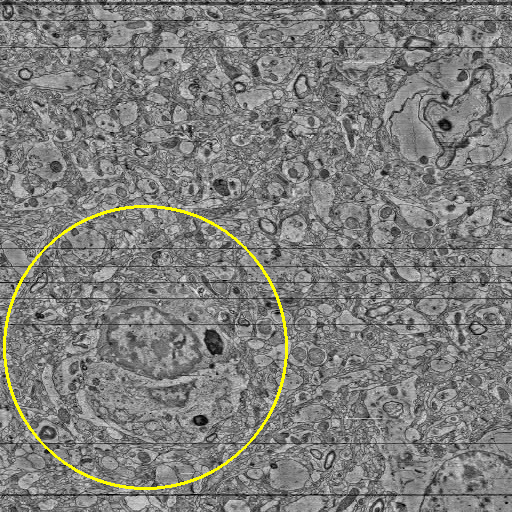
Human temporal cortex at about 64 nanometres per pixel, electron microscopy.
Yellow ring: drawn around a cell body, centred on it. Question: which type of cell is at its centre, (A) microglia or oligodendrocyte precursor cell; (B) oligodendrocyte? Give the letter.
B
